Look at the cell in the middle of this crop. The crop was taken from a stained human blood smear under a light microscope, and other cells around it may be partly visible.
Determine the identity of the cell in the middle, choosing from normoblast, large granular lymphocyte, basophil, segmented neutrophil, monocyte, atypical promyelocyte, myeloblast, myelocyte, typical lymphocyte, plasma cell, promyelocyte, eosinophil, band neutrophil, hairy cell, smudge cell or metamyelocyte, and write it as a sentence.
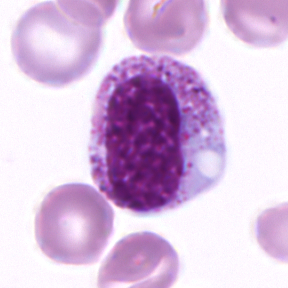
The middle position in this crop is taken by a metamyelocyte.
